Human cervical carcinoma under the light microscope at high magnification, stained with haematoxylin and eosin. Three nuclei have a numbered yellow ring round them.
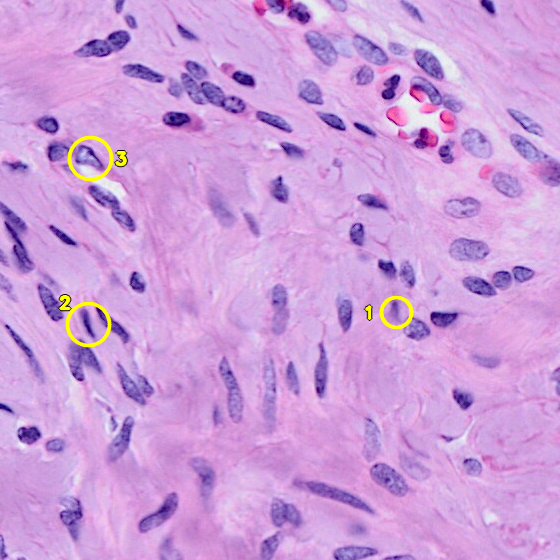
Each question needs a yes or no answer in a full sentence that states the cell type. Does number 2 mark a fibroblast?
Yes, the cell referred to as number 2 is a fibroblast.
